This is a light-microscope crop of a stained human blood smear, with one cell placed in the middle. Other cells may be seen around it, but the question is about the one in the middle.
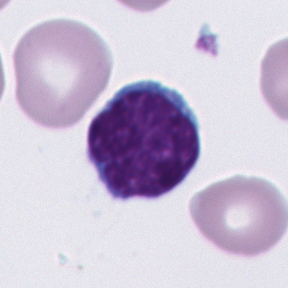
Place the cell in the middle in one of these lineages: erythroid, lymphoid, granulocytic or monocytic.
lymphoid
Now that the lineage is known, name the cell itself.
typical lymphocyte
